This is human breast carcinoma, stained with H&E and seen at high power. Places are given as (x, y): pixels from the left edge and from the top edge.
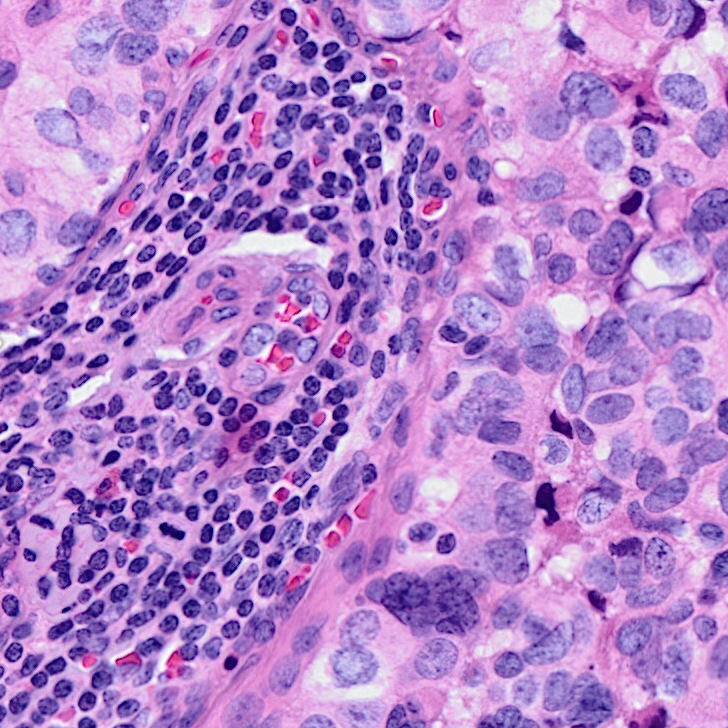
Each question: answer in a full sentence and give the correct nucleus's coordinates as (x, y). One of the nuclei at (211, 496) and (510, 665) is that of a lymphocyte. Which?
The nucleus positioned at (211, 496) forms part of a lymphocyte.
